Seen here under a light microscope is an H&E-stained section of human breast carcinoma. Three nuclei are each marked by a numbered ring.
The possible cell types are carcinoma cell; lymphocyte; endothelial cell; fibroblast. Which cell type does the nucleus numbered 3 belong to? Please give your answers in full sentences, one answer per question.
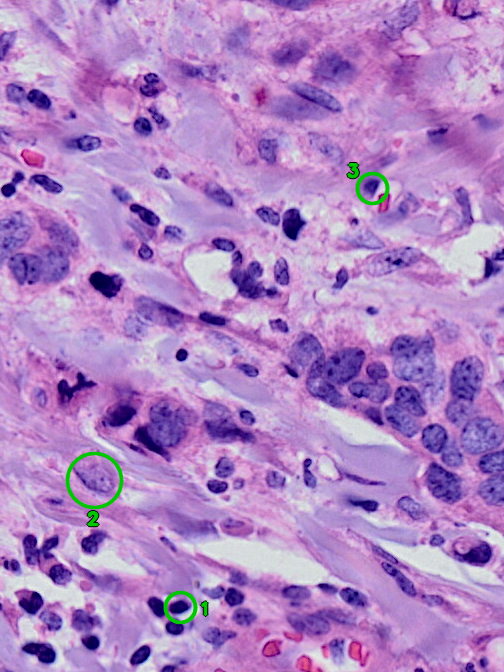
The cell that bears the number 3 is an endothelial cell.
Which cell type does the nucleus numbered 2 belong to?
Among the marked cells, number 2 is a fibroblast.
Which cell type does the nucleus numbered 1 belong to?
The mark numbered 1 indicates the nucleus of a lymphocyte.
